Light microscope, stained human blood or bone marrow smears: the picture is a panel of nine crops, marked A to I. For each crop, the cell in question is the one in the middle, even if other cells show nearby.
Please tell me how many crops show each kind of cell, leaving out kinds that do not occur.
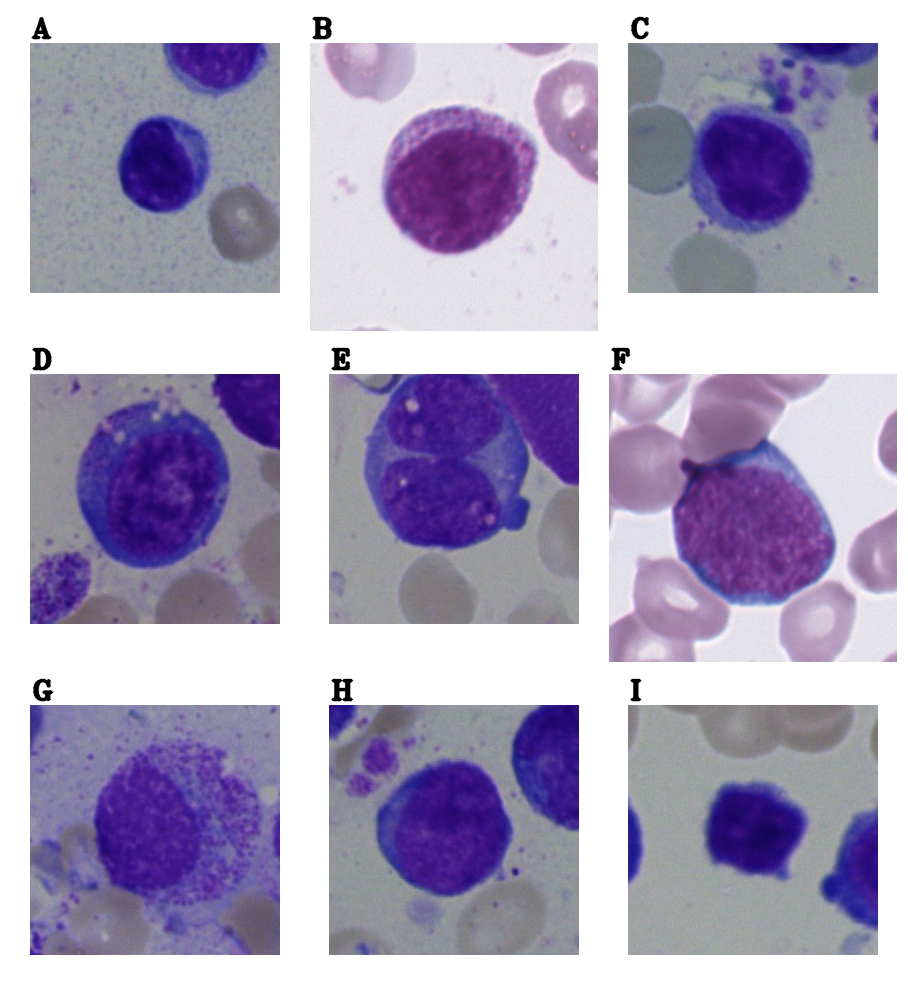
blast: 4
lymphocyte: 3
myelocyte: 2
